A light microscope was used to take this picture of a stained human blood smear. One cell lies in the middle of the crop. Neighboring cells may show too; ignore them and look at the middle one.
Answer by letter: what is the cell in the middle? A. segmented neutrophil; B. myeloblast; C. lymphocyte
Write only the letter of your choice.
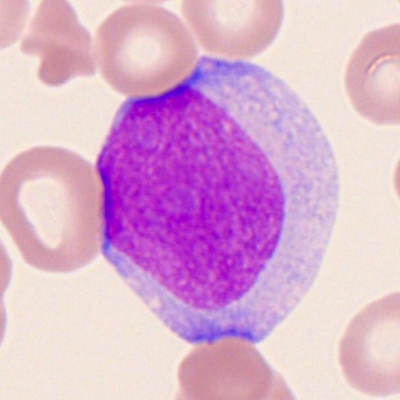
B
